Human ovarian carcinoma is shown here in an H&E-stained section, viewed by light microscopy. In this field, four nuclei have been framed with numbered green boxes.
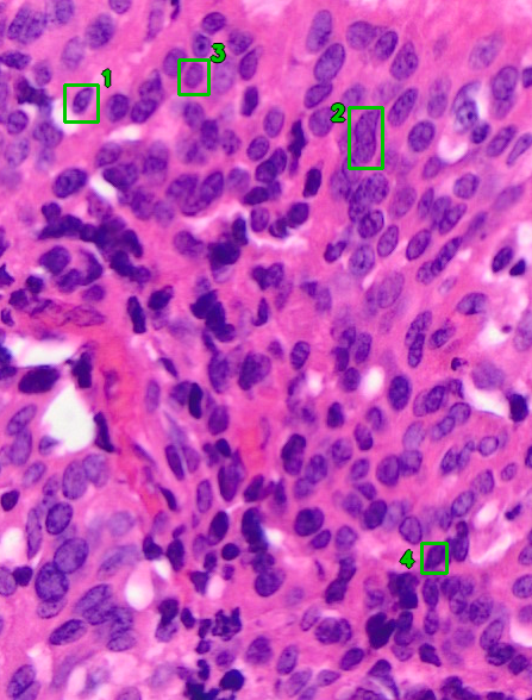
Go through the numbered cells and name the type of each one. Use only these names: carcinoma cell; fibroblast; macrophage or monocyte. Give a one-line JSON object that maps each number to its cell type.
{"1": "macrophage or monocyte", "2": "carcinoma cell", "3": "carcinoma cell", "4": "carcinoma cell"}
